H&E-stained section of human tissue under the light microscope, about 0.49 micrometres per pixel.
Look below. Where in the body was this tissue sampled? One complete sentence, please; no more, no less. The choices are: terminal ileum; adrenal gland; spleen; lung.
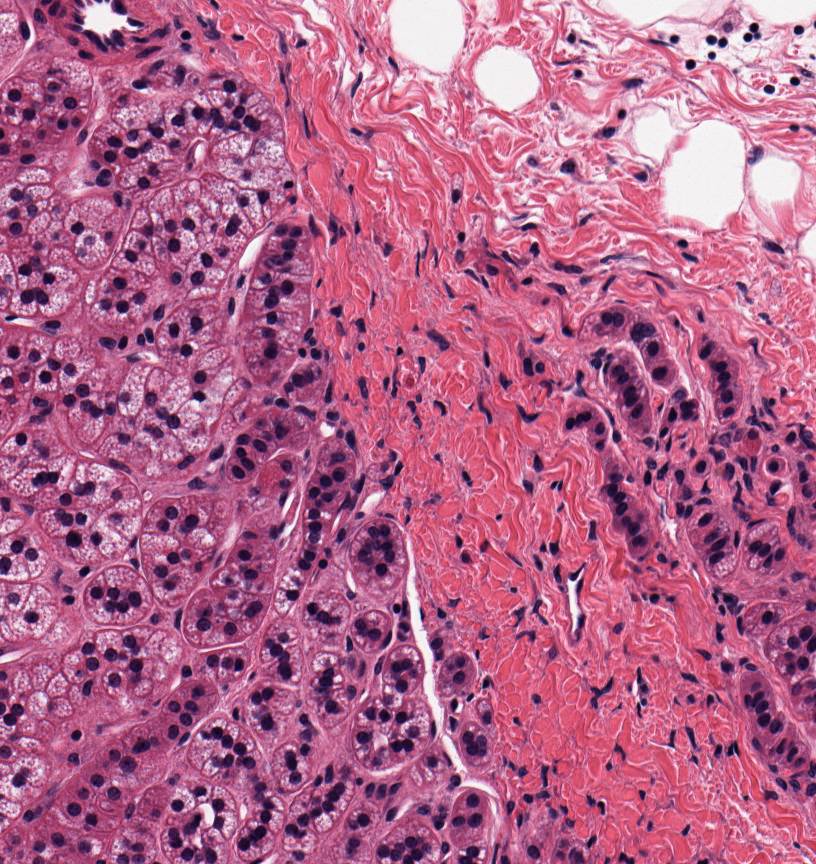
The sample used for this section is from the adrenal gland.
